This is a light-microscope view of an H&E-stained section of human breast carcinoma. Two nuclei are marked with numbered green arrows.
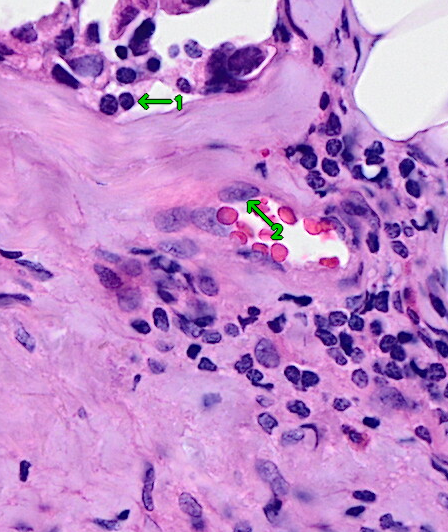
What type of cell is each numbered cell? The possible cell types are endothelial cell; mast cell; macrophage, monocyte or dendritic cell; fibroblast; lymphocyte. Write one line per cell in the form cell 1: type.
cell 1: lymphocyte
cell 2: endothelial cell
